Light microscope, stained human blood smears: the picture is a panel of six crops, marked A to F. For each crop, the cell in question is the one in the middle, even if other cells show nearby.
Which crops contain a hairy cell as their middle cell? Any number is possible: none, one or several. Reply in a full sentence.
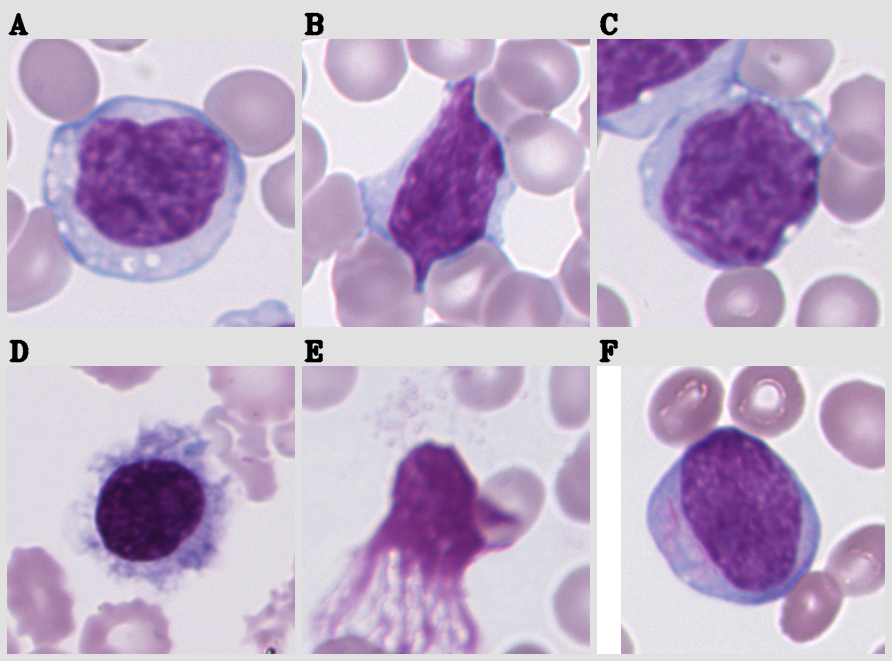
Crop D holds a hairy cell; the other crops hold none.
